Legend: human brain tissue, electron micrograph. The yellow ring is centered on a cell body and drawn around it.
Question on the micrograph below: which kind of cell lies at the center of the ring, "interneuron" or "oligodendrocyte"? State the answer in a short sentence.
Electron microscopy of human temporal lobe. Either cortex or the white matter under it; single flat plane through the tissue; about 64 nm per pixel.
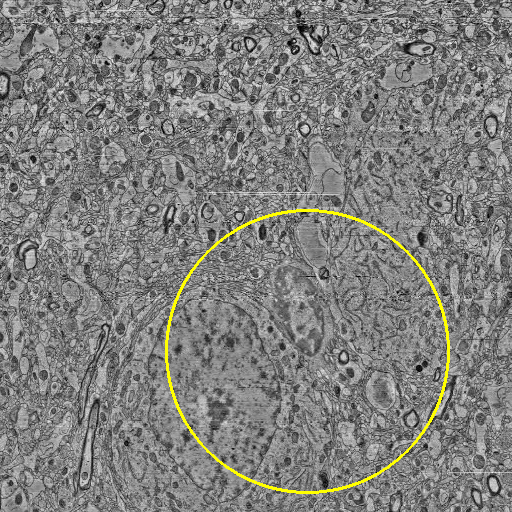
At the center of the ring lies an oligodendrocyte.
